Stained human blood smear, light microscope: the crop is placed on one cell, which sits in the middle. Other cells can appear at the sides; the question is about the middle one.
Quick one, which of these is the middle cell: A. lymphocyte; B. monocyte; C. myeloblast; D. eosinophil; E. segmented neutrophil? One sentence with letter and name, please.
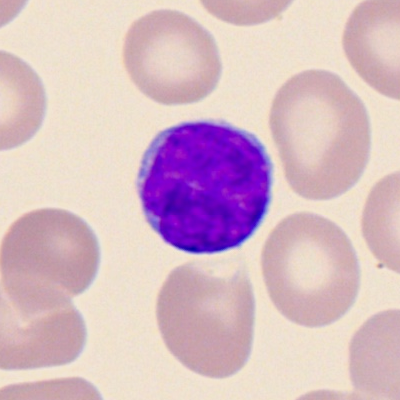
In this crop the central cell is a lymphocyte, which option A correctly states.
